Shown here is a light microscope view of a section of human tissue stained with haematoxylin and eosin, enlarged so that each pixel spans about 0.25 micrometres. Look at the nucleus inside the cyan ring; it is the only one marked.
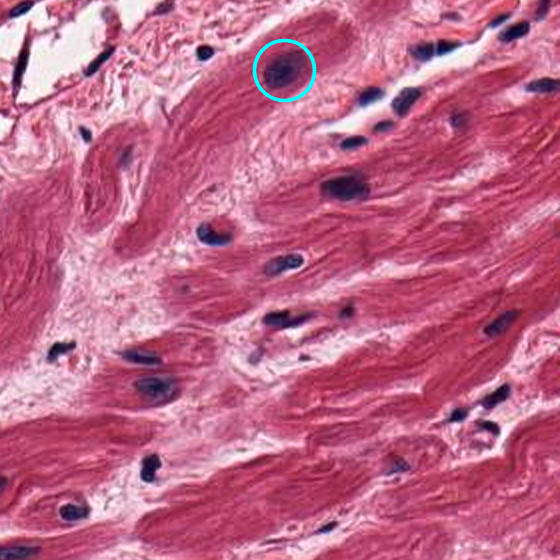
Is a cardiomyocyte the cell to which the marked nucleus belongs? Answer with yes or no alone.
yes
